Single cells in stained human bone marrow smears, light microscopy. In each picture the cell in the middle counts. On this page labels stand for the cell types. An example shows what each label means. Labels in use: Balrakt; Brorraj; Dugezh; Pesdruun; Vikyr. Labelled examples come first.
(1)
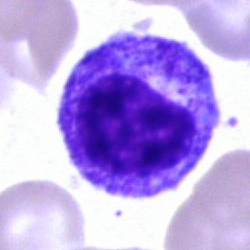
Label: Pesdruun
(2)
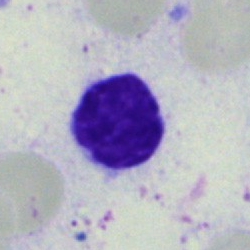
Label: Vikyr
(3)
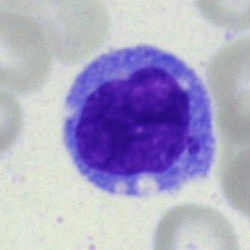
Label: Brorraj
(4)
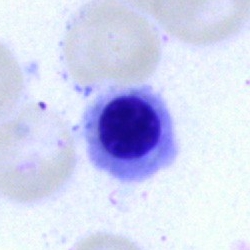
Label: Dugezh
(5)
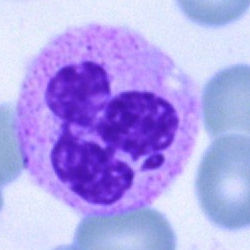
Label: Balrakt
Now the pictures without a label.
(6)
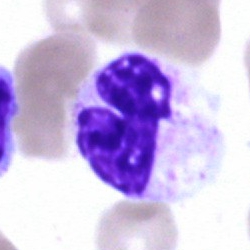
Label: Balrakt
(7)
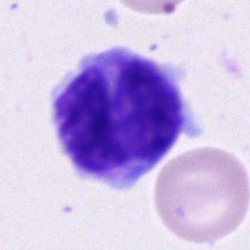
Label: Brorraj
